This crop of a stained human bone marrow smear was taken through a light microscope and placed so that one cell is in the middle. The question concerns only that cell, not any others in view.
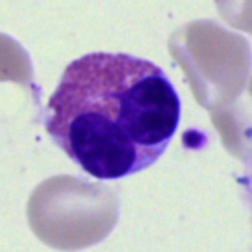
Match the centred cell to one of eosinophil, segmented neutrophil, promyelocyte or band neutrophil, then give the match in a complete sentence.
By classification, the middle cell of this crop is an eosinophil.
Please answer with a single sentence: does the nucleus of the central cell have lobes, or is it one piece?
Counting the nuclear lobes gives a total of at least two.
